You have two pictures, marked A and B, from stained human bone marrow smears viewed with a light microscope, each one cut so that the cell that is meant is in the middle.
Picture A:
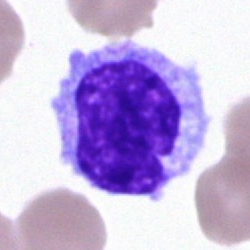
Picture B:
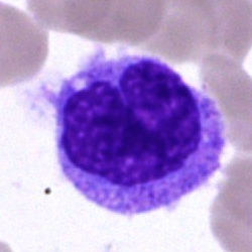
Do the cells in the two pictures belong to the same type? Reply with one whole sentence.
Yes, both cells are monocytes.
